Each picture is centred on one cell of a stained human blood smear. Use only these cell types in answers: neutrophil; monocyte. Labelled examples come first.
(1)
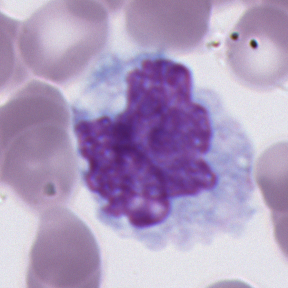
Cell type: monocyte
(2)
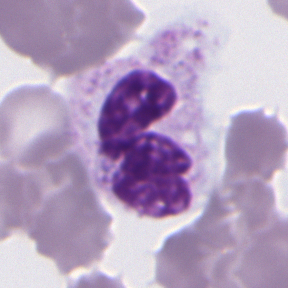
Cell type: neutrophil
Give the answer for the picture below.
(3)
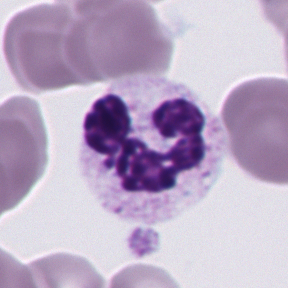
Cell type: neutrophil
